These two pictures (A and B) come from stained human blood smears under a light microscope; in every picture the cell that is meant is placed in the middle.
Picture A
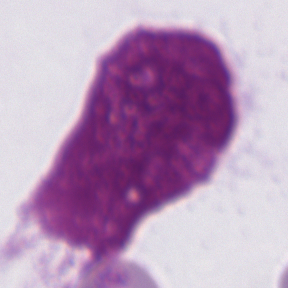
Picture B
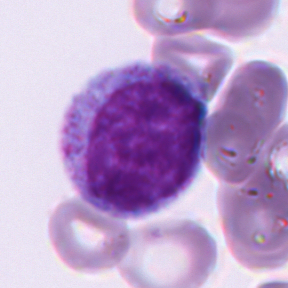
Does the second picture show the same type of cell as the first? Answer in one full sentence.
No, the types are not the same, since picture A shows a smudge cell and picture B a myelocyte.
